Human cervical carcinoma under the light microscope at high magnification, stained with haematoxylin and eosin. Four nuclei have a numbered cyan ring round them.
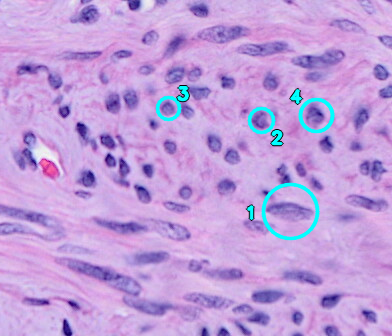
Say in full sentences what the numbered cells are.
Cell 1 is a fibroblast. Cells 2, 3 and 4 are smooth muscle cells.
